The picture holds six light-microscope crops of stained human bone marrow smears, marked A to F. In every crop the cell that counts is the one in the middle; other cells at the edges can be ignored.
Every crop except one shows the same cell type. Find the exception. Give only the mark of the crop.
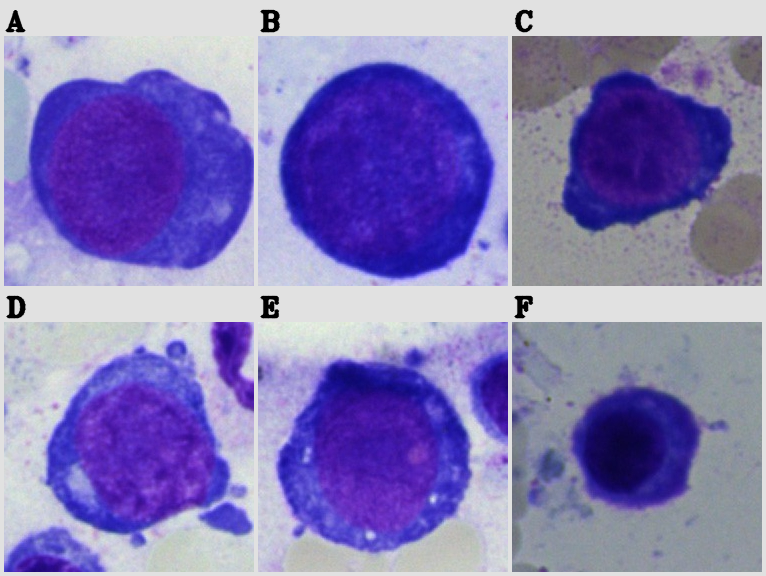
F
